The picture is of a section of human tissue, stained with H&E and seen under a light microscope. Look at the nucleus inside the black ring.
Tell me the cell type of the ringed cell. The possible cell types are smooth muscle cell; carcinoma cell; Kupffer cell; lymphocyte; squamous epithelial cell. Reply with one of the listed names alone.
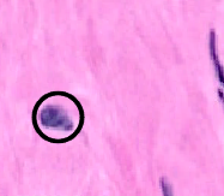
lymphocyte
